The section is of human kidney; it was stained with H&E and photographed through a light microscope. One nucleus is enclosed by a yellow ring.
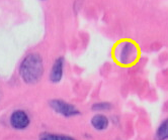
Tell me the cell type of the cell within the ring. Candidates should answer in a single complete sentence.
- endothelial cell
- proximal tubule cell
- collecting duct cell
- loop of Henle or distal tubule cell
As far as its identity is concerned, the cell within the ring is an endothelial cell.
